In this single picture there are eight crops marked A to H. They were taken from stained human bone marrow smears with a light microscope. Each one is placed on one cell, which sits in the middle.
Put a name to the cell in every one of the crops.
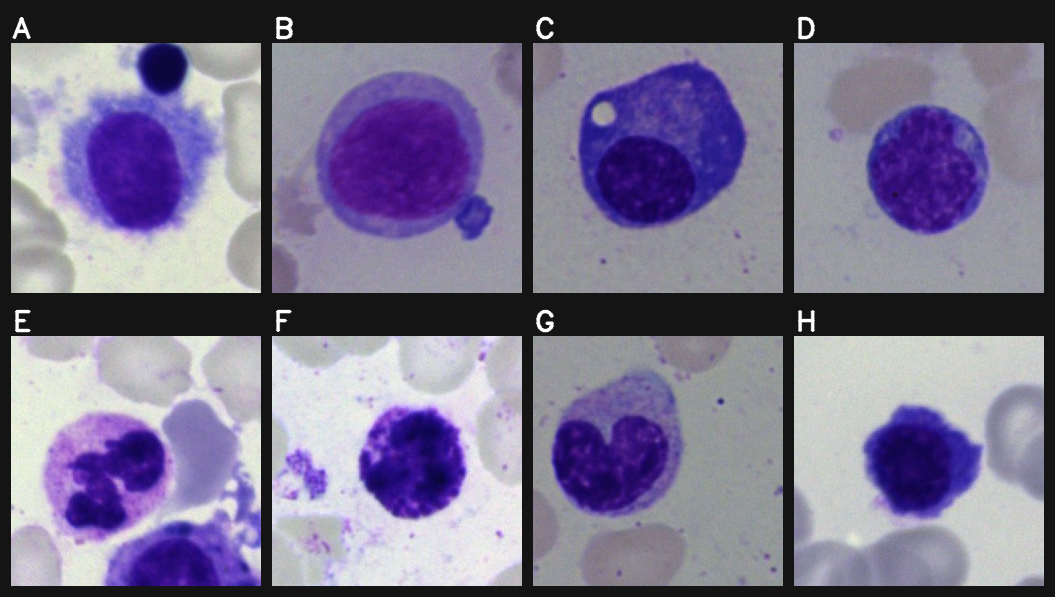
A: hairy cell
B: blast
C: plasma cell
D: blast
E: segmented neutrophil
F: basophil
G: metamyelocyte
H: normoblast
